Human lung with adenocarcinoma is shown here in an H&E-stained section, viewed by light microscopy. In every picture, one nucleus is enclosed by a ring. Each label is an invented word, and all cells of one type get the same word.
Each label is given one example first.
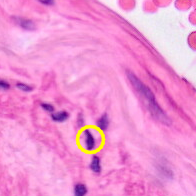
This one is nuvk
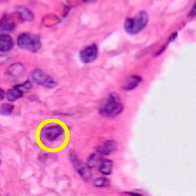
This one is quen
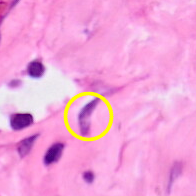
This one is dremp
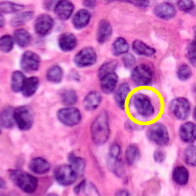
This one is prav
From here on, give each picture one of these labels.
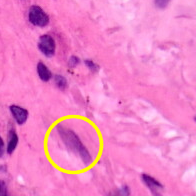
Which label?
dremp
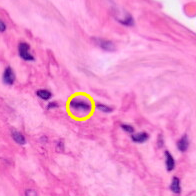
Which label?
nuvk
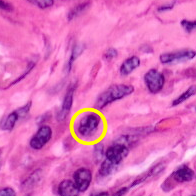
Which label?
quen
